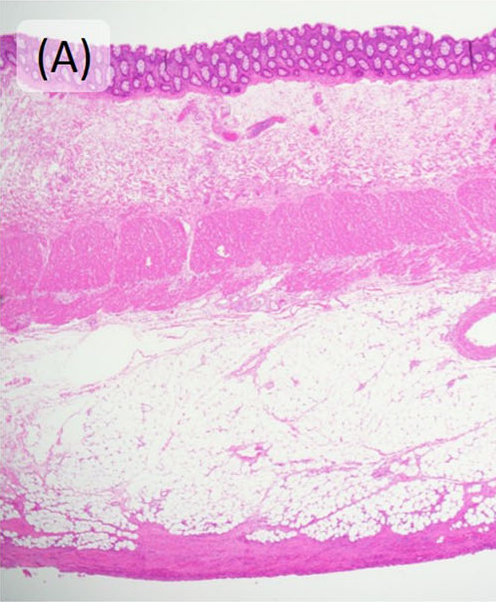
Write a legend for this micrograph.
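The full thickness of the colon wall is seen at low power, with the mucosa of evenly spaced crypts along the top, then a broad pale submucosal layer, then pink bands of smooth muscle and a wide layer of fat containing vessels. The submucosa is widened, pale and loose with scattered thin-walled vessels, the picture of edema. The mucosa and muscle remain in place without areas of destroyed, structureless tissue.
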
